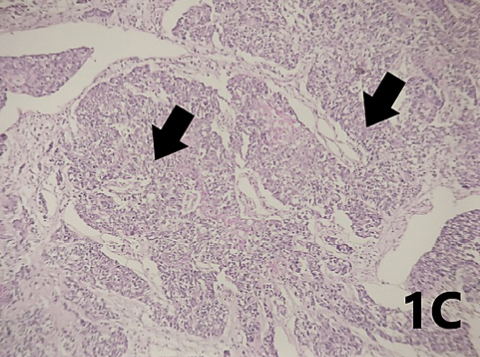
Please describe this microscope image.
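Tumour tissue made of solid sheets of crowded tumour cells. The cells have small, dark, closely packed nuclei and scant pale cytoplasm. No glands are formed within the sheets. Thin strands of pale pink stroma separate the sheets, and a few empty cleft-like spaces run between them.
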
